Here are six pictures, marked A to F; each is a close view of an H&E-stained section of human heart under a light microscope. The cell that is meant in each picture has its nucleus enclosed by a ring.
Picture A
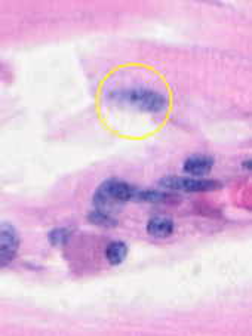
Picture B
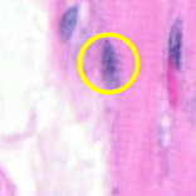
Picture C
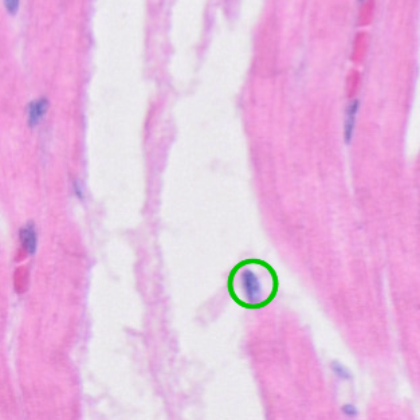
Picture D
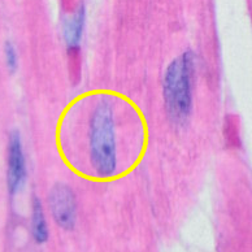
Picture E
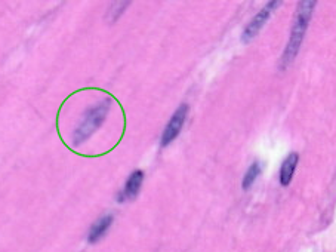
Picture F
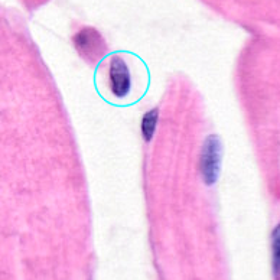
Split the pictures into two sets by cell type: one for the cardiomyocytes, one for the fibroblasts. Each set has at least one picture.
A: fibroblast
B: fibroblast
C: fibroblast
D: cardiomyocyte
E: cardiomyocyte
F: fibroblast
